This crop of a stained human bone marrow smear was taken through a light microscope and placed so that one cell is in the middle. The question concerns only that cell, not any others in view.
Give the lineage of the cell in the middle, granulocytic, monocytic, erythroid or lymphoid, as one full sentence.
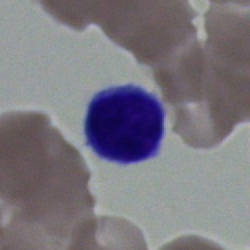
With respect to lineage, the central cell is to be called lymphoid.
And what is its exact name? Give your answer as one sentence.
The central cell shown in this smear crop is a lymphocyte.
